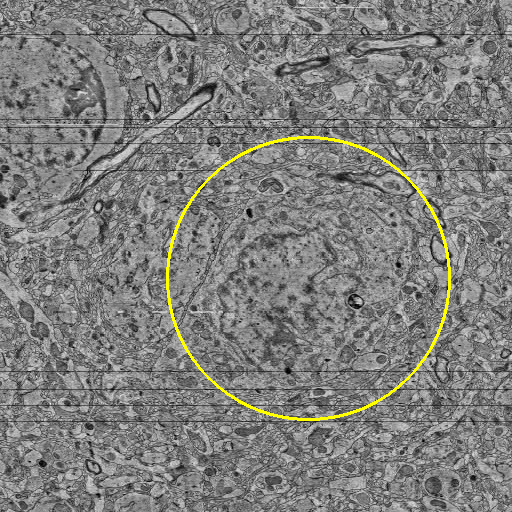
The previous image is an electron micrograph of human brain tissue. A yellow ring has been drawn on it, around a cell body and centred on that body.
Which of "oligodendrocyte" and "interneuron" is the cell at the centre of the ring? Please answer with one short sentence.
The cell body at the centre of the ring belongs to an interneuron.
